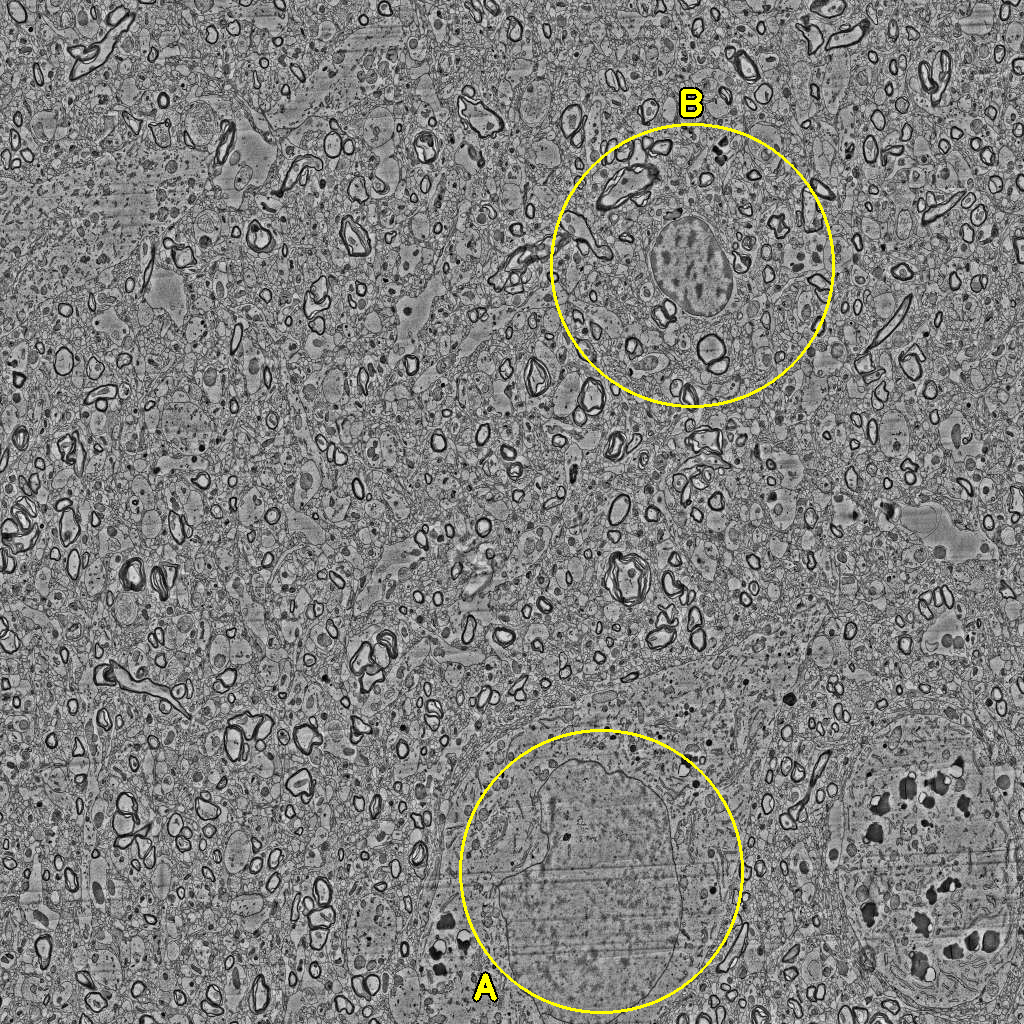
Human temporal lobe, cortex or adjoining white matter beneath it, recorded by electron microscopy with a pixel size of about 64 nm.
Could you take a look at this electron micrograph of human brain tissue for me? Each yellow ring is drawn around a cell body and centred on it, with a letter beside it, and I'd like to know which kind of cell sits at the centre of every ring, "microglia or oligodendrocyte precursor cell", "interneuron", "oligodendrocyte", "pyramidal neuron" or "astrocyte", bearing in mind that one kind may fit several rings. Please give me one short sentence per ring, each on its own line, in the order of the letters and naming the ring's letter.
Ring A is centred on a pyramidal neuron.
Ring B is centred on a microglial cell or oligodendrocyte precursor cell.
